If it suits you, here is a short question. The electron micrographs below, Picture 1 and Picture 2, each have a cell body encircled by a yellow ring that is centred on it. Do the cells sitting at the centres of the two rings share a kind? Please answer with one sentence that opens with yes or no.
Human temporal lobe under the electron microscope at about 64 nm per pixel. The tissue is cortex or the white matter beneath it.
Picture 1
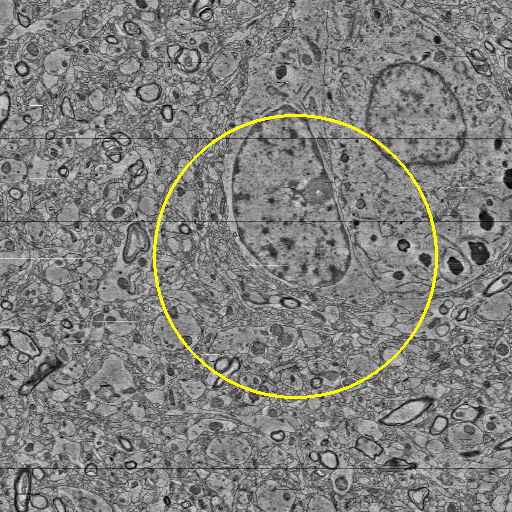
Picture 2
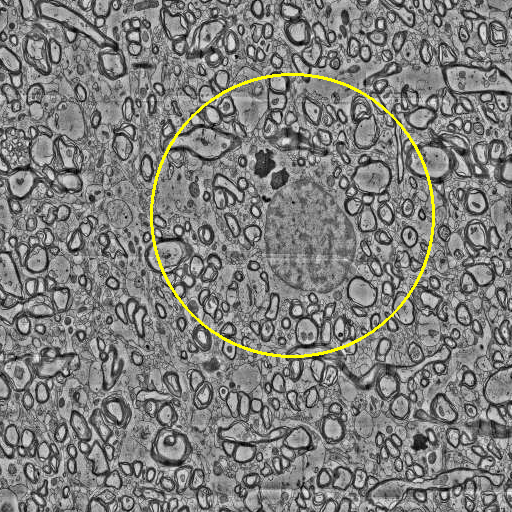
No, the two cells sitting at the ring centres fall into two kinds.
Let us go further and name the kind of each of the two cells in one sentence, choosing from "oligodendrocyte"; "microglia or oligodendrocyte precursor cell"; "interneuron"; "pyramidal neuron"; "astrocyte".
The ring of the first picture is on a microglial cell or oligodendrocyte precursor cell, the ring of the second on an oligodendrocyte.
